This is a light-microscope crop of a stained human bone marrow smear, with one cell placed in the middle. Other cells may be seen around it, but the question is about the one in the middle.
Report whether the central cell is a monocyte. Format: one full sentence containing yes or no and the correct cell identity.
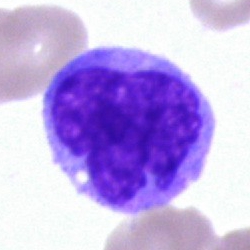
Yes, the centrally placed cell is a monocyte.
